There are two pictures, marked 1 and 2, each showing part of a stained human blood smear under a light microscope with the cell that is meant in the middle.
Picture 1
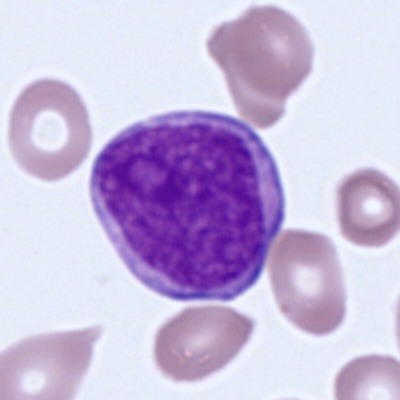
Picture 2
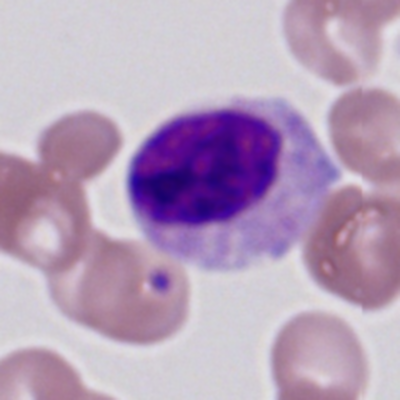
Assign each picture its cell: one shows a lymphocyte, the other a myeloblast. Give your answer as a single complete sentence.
Picture 2 shows a lymphocyte, while picture 1 shows a myeloblast.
